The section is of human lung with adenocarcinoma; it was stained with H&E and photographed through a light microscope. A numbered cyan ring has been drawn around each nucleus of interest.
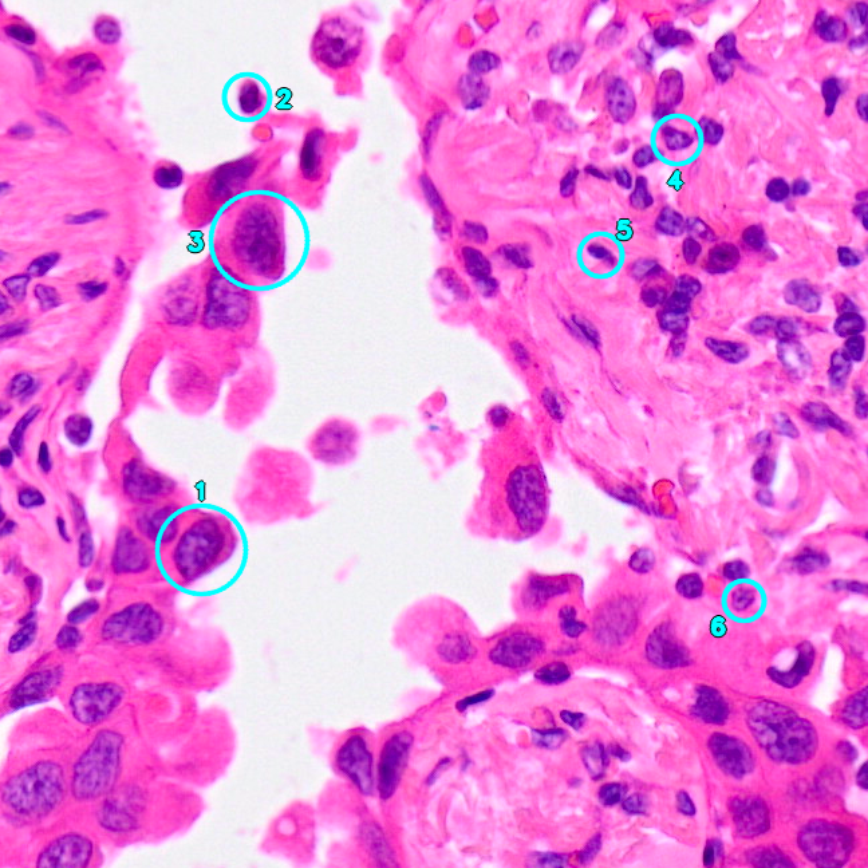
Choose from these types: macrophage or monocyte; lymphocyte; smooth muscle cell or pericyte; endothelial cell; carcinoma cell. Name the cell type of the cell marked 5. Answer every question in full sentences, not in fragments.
Cell 5, as marked in the section, is a lymphocyte.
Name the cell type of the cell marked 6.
In this section, the cell numbered 6 is a lymphocyte.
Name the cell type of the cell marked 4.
The nucleus labelled 4 belongs to a lymphocyte.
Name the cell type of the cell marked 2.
The one labeled 2 is a lymphocyte, to put it simply.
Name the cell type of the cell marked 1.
The cell numbered 1 has been identified as a carcinoma cell.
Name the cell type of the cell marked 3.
As for number 3, that cell is a carcinoma cell.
